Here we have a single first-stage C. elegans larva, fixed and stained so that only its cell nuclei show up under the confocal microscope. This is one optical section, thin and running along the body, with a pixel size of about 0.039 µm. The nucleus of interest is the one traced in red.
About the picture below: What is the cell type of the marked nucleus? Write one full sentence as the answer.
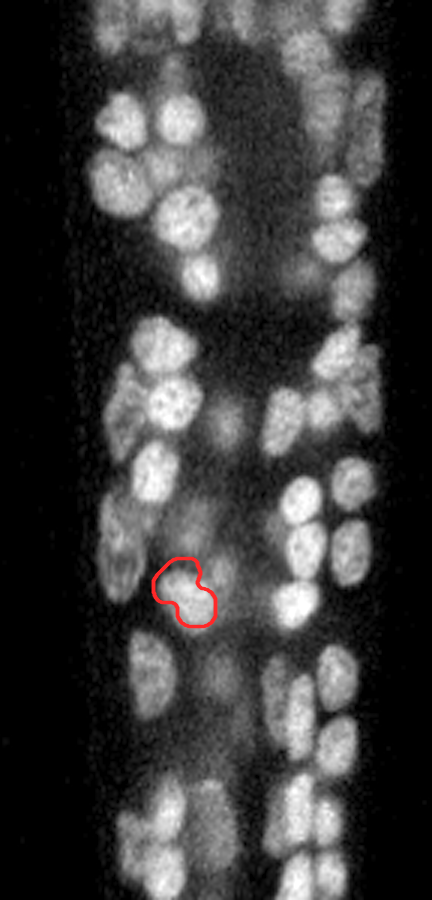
The cell with the marked nucleus is a pharyngeal marginal cell.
